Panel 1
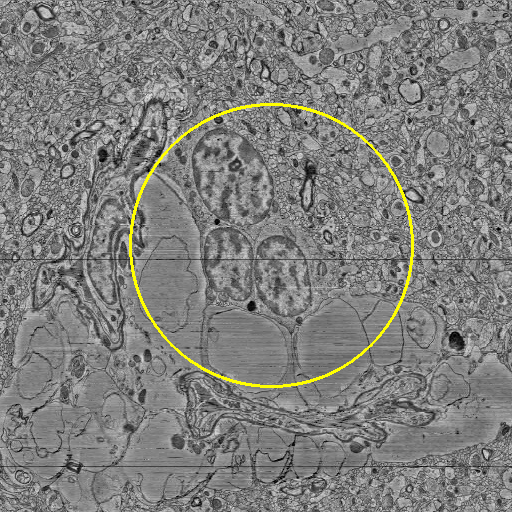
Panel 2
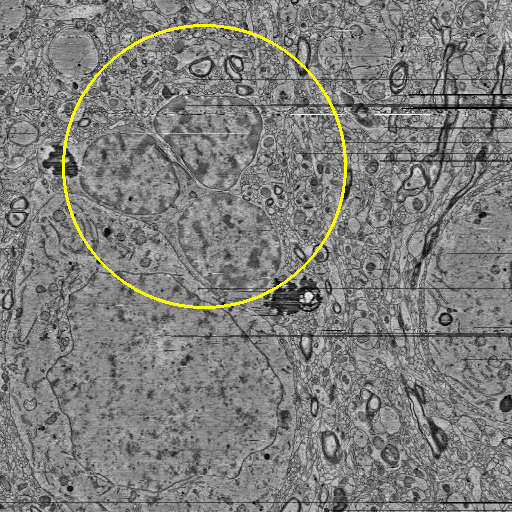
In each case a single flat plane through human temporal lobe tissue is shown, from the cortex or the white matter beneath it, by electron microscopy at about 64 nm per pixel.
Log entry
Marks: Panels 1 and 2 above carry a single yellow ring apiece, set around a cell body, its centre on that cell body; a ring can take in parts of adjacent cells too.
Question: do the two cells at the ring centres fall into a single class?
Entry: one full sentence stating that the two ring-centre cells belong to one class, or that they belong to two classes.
The two ring-centre cells in Panels 1 and 2 belong to two classes.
